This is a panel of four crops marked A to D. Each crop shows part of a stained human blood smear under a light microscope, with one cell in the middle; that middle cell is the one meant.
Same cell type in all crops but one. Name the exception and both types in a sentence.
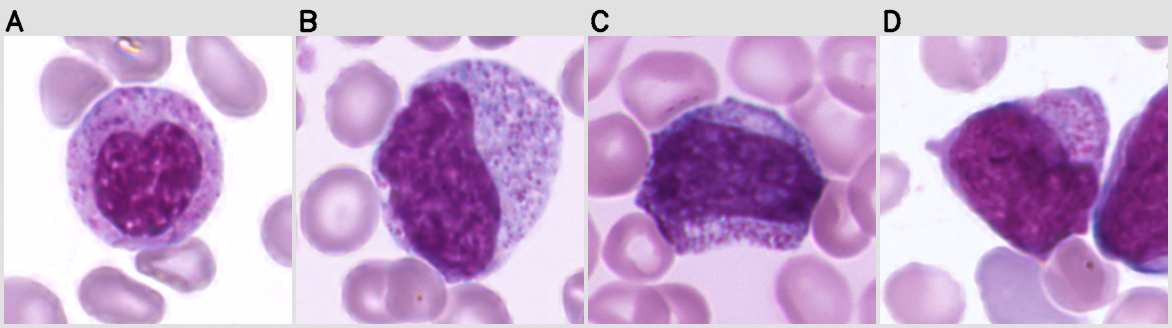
Crop D contains an atypical promyelocyte, setting it apart from the other crops, which all contain myelocytes.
